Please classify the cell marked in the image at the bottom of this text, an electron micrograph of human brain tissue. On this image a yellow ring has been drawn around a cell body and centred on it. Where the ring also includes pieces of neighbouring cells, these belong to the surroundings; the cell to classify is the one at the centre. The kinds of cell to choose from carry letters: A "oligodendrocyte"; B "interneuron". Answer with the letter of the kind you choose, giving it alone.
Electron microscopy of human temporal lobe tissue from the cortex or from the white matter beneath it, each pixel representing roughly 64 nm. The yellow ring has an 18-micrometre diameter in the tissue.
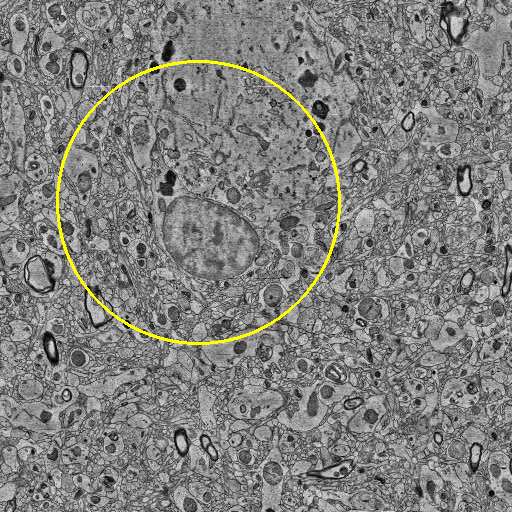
A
